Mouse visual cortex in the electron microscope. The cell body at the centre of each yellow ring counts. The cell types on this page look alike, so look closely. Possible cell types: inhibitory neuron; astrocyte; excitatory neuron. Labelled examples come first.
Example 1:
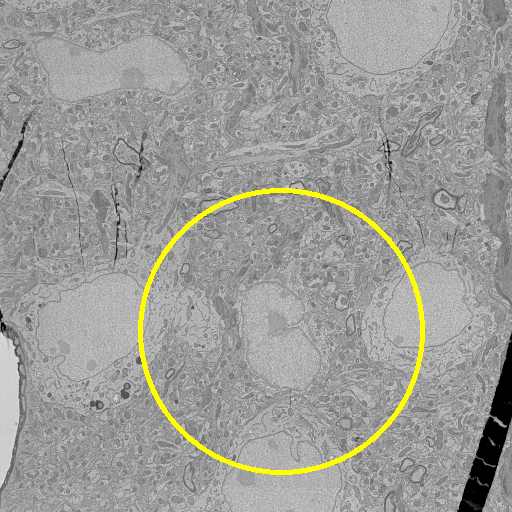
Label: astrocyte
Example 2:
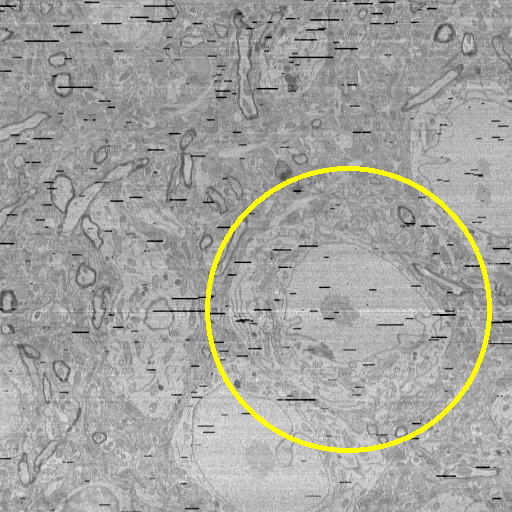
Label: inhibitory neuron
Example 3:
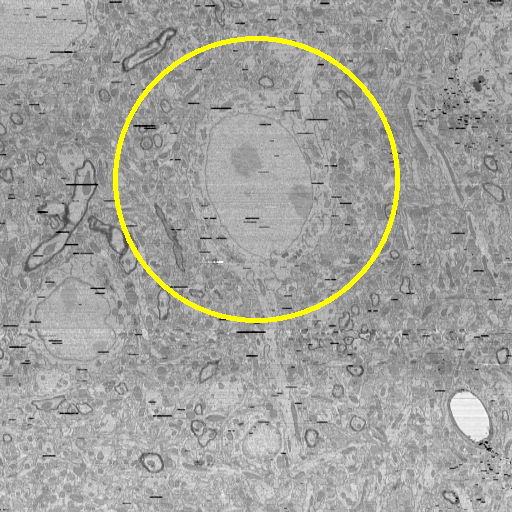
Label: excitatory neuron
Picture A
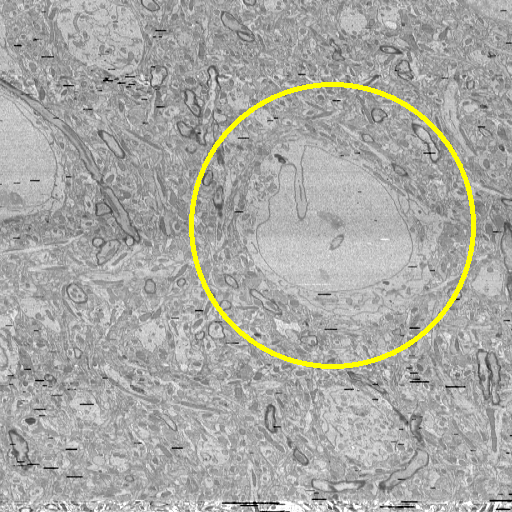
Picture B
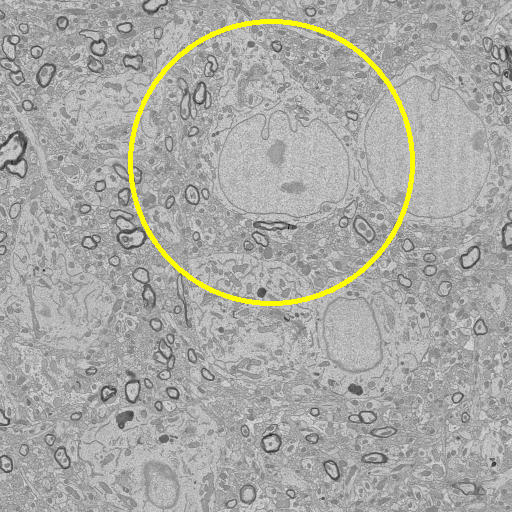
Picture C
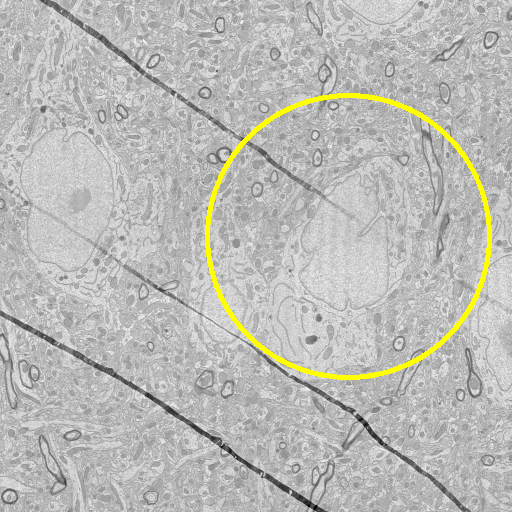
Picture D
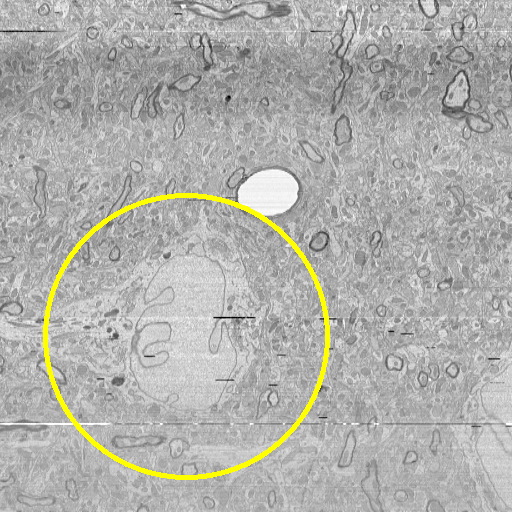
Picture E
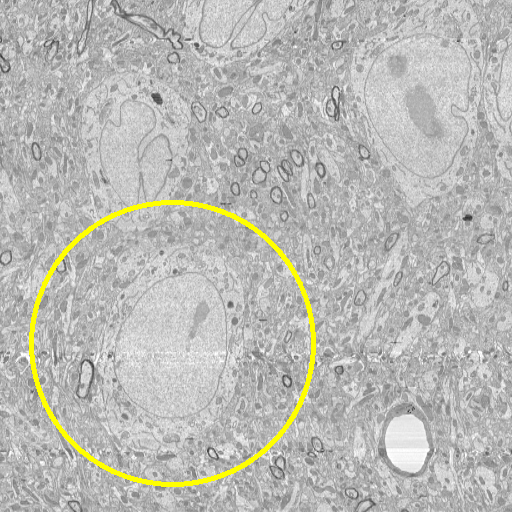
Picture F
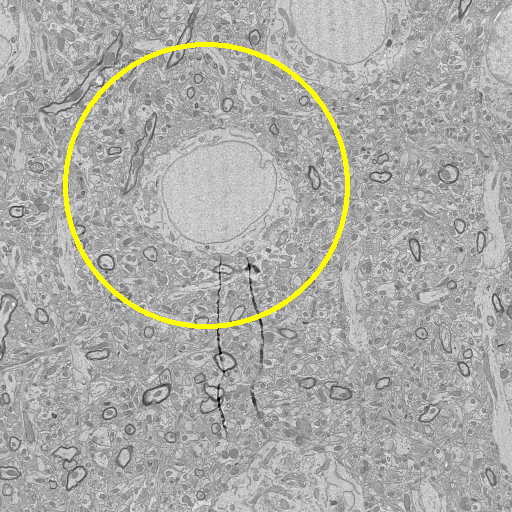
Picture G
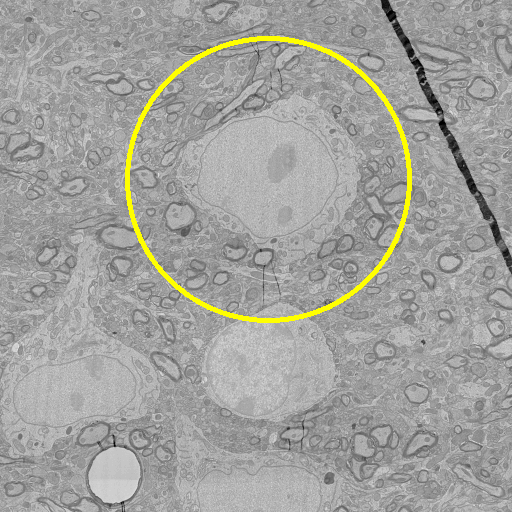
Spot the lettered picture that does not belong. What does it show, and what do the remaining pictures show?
C differs and shows inhibitory neuron; the others show excitatory neuron.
